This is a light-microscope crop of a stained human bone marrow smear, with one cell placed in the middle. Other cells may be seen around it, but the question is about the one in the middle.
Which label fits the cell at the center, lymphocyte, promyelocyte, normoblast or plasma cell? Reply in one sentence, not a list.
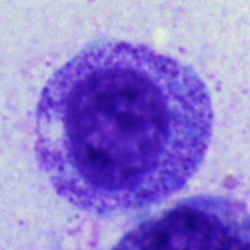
Framed in the middle of the crop is a promyelocyte.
